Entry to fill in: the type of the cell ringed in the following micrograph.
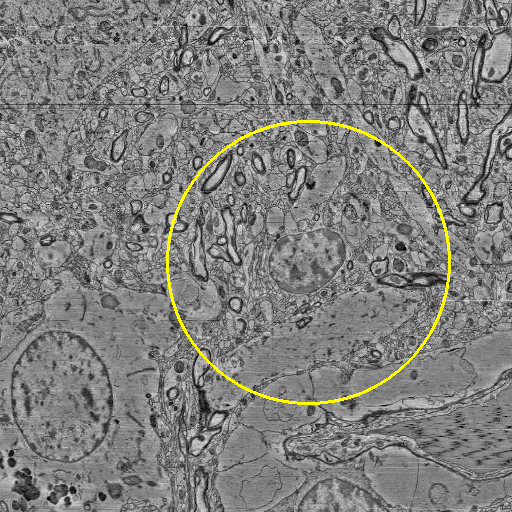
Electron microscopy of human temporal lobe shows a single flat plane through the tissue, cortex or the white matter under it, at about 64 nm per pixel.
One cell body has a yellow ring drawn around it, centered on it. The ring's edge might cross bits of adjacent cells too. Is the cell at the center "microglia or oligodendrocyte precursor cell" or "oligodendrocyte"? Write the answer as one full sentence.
This entry names a microglial cell or oligodendrocyte precursor cell as the cell whose body lies at the ring's center.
